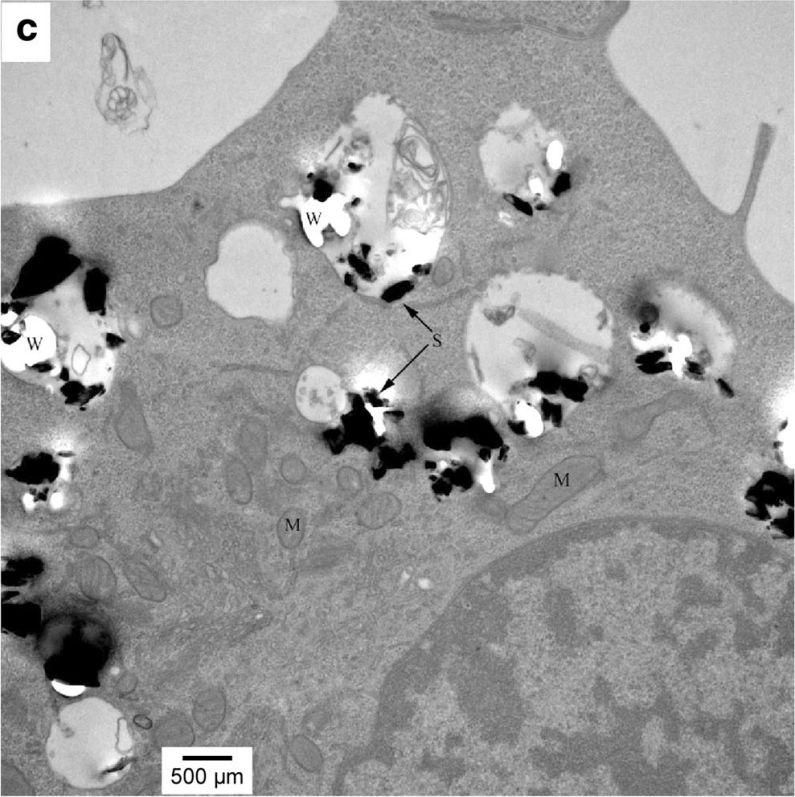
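This high-power electron micrograph shows part of a cell's cytoplasm crowded with membrane-bound vacuoles containing electron-dense, angular black particles. Between the vacuoles the cytoplasm is finely granular and contains several oval mitochondria with visible cristae. At the lower right lies part of a large nucleus with patchy, darker chromatin. A thin cytoplasmic process extends at the upper right, and the cell surface borders the pale background at the top.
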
